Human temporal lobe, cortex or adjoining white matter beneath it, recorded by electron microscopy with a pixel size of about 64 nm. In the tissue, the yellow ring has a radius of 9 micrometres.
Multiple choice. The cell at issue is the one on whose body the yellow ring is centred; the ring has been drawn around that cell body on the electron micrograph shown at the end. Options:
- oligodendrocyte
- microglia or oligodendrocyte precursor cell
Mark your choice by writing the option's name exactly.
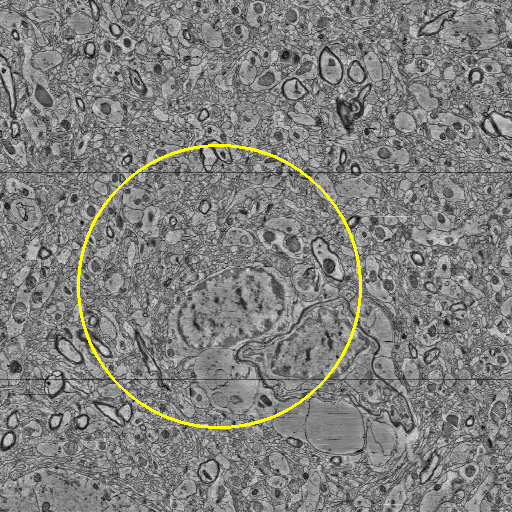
microglia or oligodendrocyte precursor cell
